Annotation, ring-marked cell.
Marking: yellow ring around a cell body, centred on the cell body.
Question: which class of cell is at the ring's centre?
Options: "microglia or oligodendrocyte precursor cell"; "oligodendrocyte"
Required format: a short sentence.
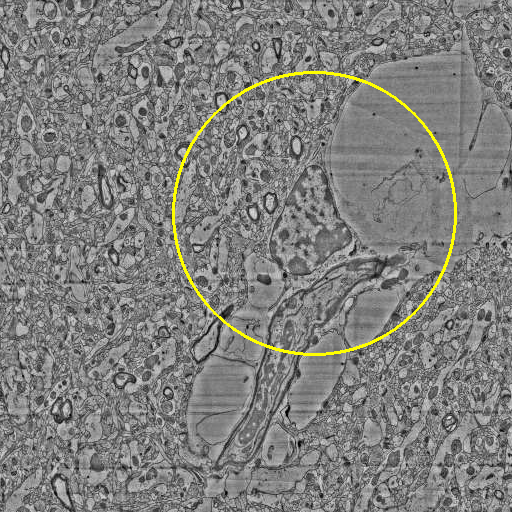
At the ring's centre is a microglial cell or oligodendrocyte precursor cell.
